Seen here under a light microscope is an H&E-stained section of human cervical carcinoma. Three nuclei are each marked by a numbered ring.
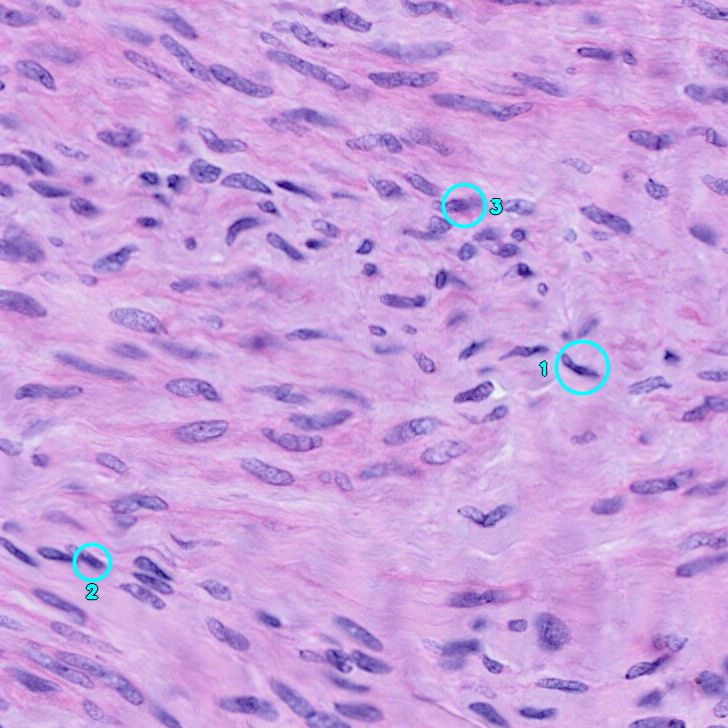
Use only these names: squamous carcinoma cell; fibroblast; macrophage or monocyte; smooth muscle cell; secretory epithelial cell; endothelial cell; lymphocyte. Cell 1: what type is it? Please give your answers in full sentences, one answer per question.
The cell that carries the label 1 is a fibroblast.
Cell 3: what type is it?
Cell 3, among those numbered, is a smooth muscle cell.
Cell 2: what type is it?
The cell tagged with 2 in this tissue section is a fibroblast.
